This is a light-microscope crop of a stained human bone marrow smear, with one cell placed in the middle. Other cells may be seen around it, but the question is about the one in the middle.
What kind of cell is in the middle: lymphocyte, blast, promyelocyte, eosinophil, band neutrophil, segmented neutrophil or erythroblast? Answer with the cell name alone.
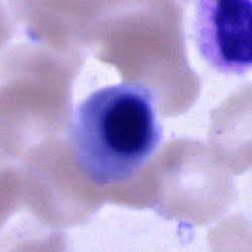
erythroblast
